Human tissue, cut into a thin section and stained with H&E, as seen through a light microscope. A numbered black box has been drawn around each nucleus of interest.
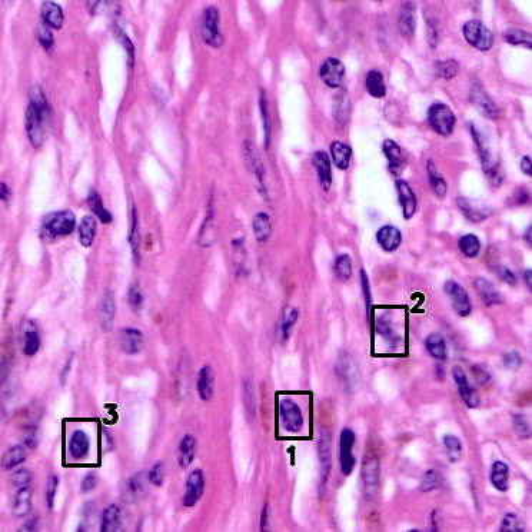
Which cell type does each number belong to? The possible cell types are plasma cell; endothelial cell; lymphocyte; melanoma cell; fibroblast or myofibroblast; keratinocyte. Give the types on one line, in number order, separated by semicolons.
lymphocyte; fibroblast or myofibroblast; lymphocyte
